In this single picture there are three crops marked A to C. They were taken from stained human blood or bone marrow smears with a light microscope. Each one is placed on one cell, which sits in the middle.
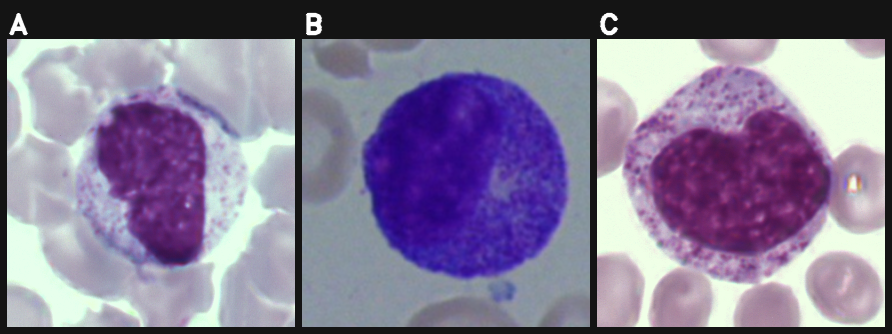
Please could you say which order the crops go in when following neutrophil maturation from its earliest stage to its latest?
B, C, A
